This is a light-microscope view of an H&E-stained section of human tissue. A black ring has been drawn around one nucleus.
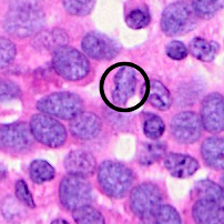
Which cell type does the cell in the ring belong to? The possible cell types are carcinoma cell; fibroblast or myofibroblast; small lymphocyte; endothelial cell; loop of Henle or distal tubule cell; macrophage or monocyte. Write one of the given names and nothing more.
macrophage or monocyte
